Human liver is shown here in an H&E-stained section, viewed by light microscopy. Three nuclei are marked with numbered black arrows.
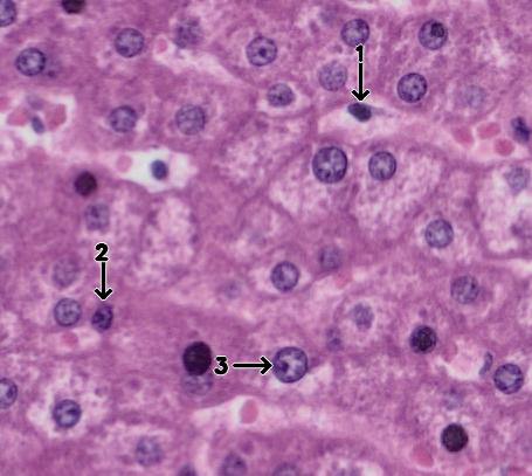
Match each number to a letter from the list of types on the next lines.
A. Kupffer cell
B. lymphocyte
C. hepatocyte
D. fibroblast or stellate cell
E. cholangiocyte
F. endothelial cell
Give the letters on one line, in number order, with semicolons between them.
B; D; C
